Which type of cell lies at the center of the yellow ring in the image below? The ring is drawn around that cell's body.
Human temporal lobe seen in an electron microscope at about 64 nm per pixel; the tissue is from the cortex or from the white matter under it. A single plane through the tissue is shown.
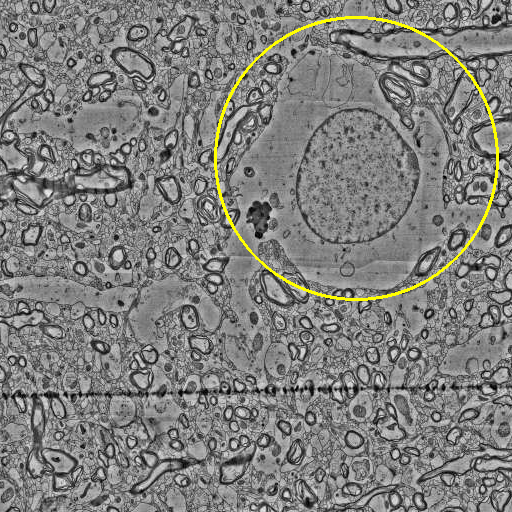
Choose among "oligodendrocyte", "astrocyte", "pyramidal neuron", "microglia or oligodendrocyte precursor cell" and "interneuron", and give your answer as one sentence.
The cell body at the center belongs to an astrocyte.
